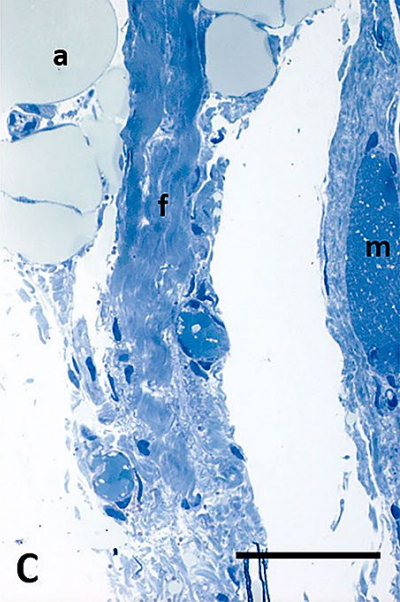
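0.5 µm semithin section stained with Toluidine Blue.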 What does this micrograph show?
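Fascia with neighbouring fat and muscle. Large, rounded adipocytes with pale, homogeneous contents sit at the upper left. A central band of fascia runs vertically through the field. It is made of dense, wavy, blue fibres and holds a few rounded, darker profiles. Looser, frayed connective tissue spreads from its left side and lower end. At the right edge lies a compact, deeply blue band of muscle. A clear gap separates this muscle from the fascia.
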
